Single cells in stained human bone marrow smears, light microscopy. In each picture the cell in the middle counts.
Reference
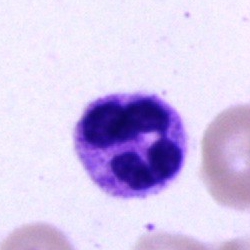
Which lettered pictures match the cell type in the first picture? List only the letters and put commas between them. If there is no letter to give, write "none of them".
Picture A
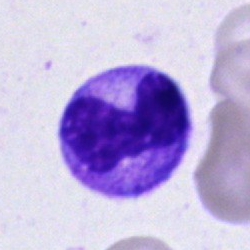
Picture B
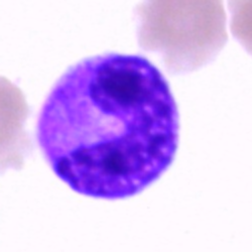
none of them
